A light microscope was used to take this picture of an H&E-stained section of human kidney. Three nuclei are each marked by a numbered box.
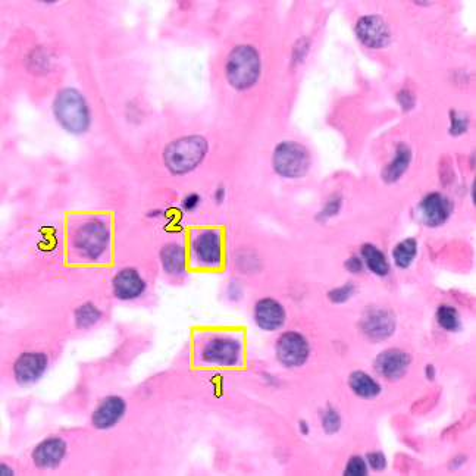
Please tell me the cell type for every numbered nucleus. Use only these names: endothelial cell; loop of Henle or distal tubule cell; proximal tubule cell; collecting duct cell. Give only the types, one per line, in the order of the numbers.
loop of Henle or distal tubule cell
loop of Henle or distal tubule cell
proximal tubule cell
